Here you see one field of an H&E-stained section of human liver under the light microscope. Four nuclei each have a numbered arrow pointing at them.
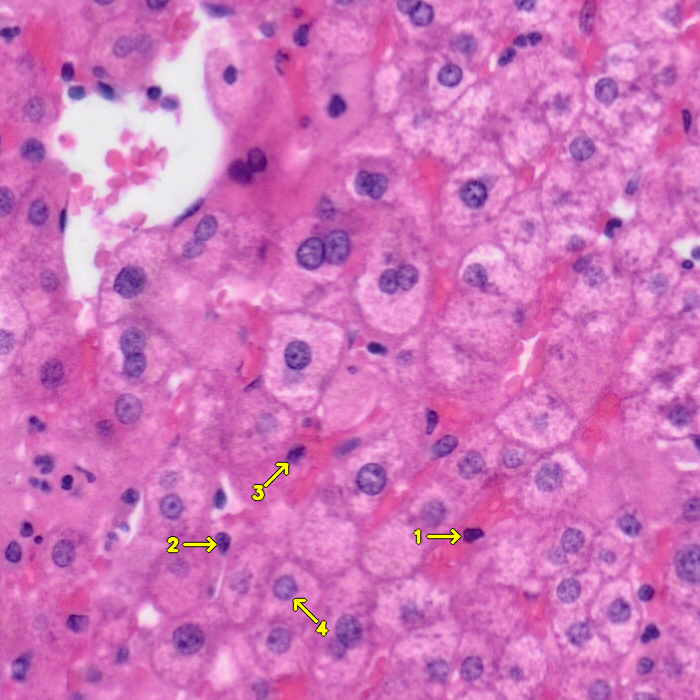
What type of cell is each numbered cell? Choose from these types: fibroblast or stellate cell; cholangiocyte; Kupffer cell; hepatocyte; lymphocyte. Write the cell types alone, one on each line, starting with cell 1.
lymphocyte
lymphocyte
fibroblast or stellate cell
hepatocyte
